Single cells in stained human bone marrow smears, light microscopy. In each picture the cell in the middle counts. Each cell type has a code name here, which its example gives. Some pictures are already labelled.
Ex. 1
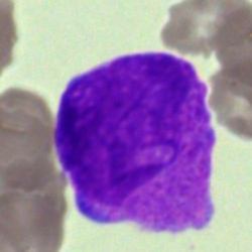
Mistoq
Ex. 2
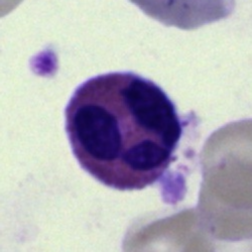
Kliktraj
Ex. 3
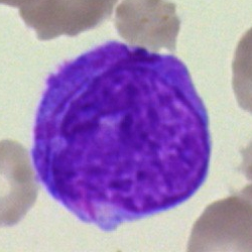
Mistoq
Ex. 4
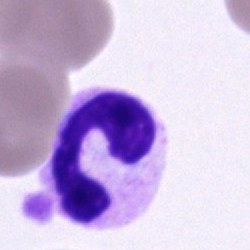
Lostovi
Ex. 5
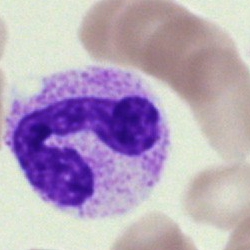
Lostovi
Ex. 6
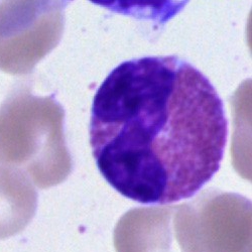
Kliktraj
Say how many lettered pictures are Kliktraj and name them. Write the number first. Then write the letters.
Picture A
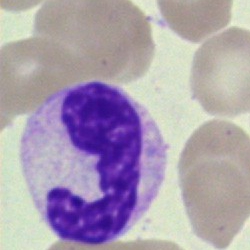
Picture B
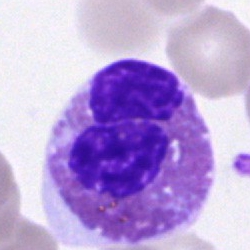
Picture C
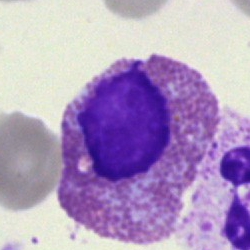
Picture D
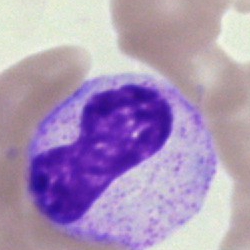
2, namely B, C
